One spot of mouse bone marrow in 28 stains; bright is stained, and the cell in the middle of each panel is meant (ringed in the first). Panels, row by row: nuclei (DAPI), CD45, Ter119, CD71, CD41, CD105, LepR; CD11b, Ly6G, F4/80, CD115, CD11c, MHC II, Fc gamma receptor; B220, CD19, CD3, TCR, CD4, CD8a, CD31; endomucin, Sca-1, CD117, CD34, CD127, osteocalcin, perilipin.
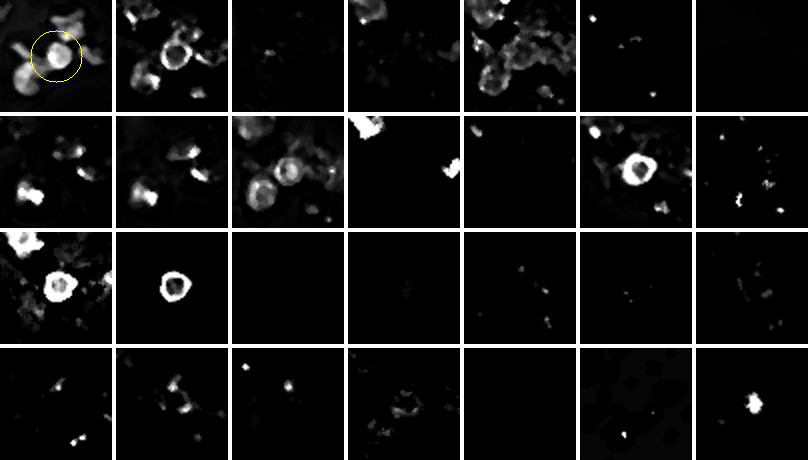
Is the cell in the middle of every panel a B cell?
Yes, it is a B cell.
